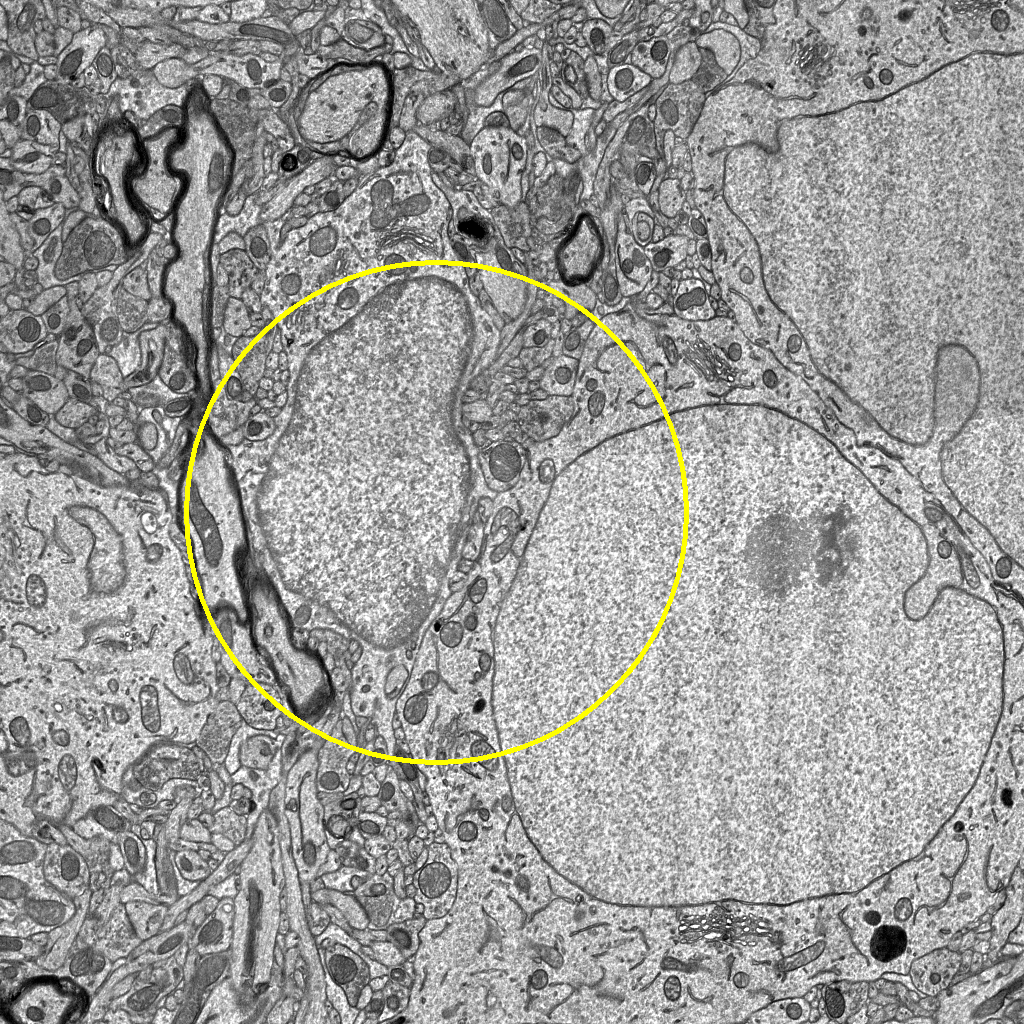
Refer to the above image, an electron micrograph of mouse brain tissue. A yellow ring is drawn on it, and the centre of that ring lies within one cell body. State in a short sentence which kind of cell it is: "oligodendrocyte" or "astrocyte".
The centre of the ring falls on an astrocyte.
